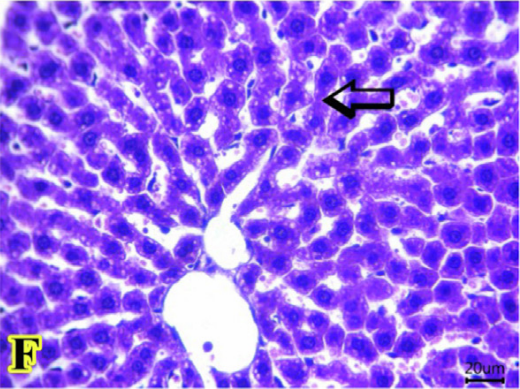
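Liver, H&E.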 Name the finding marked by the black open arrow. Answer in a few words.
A: Minute droplets of fatty globules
